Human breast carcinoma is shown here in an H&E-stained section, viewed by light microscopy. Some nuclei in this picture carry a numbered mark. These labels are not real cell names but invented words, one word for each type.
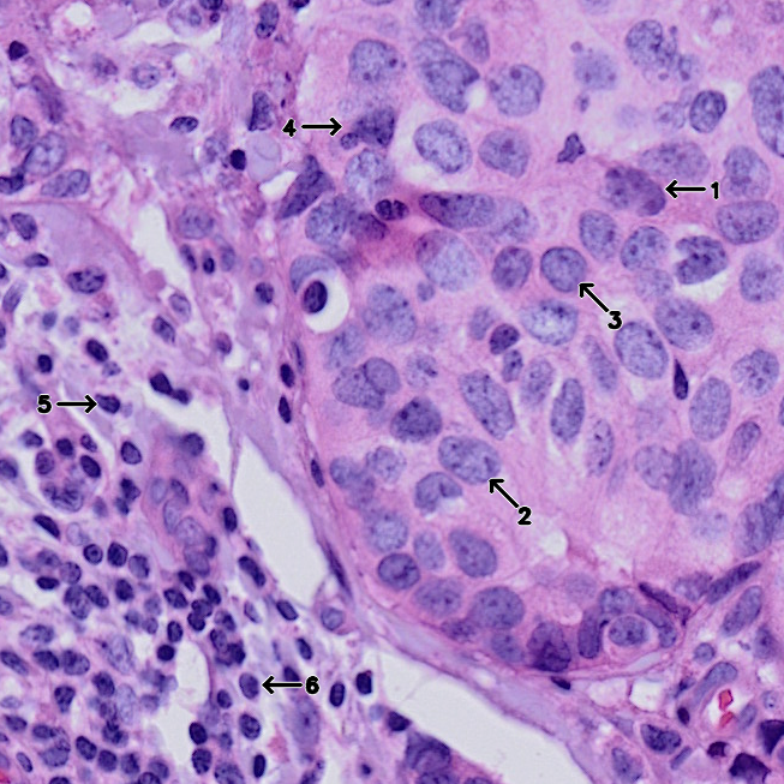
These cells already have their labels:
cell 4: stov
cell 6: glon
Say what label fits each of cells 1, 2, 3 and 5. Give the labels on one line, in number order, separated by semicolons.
stov; stov; stov; glon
